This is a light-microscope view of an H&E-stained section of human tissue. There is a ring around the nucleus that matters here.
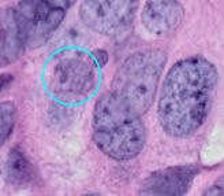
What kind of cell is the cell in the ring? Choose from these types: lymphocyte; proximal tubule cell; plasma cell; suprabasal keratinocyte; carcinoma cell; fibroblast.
carcinoma cell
